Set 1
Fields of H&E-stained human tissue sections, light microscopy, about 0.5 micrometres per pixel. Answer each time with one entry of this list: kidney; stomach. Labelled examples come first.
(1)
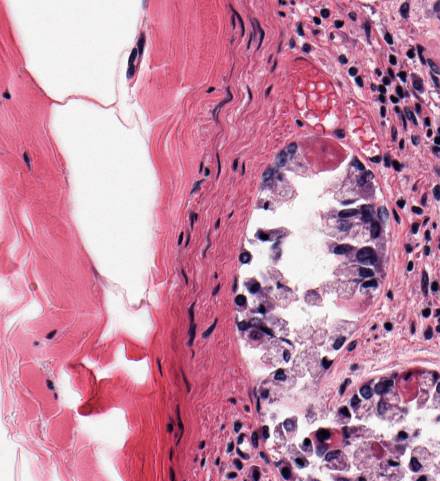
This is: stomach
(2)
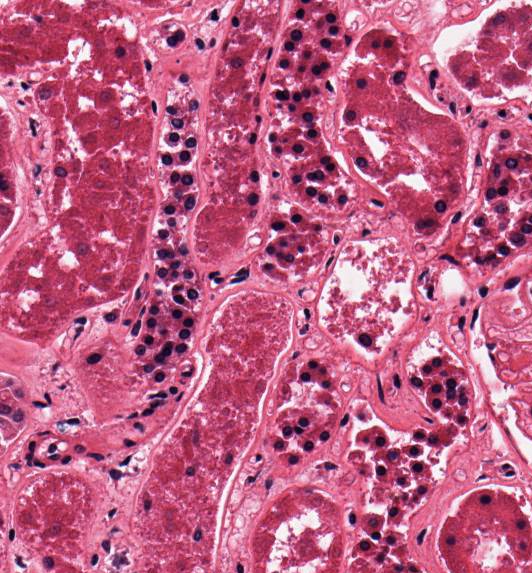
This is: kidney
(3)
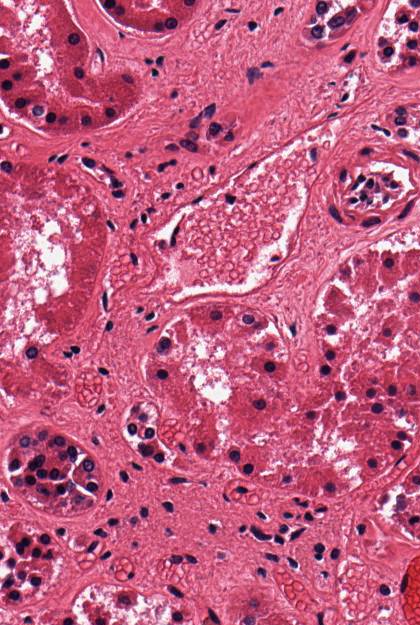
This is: kidney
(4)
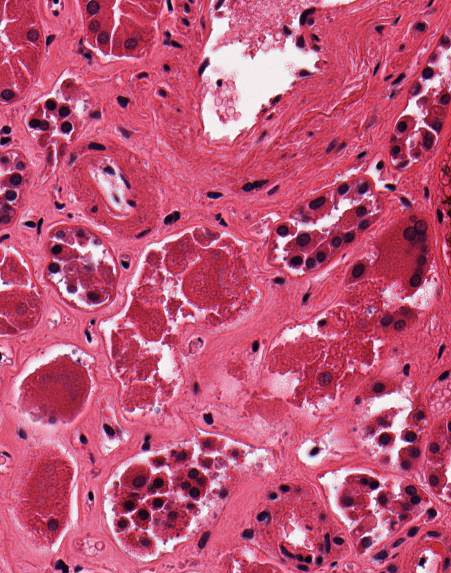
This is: kidney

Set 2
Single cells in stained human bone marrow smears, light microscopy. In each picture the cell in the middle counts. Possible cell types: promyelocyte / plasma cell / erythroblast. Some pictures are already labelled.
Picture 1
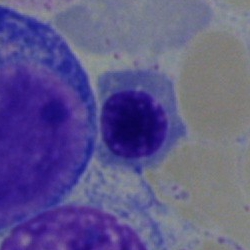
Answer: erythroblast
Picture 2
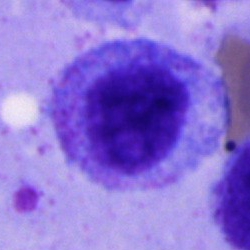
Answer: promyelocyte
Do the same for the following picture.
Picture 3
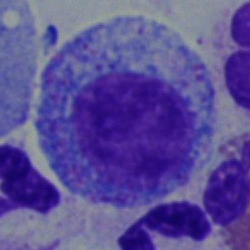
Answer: promyelocyte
